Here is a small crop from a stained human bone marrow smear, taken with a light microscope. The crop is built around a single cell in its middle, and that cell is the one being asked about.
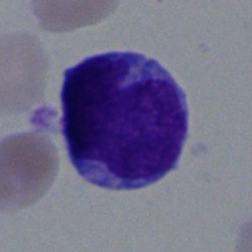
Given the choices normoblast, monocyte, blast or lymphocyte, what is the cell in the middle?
blast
